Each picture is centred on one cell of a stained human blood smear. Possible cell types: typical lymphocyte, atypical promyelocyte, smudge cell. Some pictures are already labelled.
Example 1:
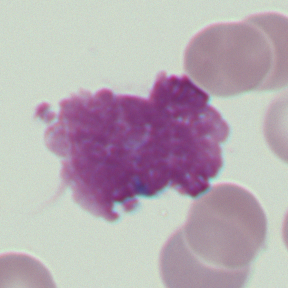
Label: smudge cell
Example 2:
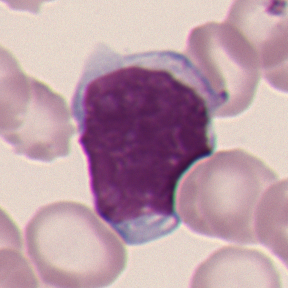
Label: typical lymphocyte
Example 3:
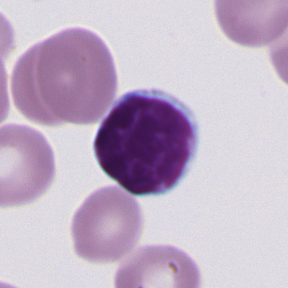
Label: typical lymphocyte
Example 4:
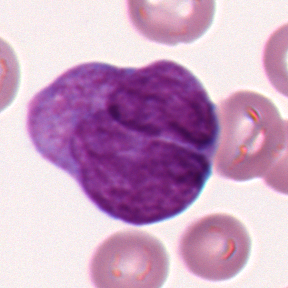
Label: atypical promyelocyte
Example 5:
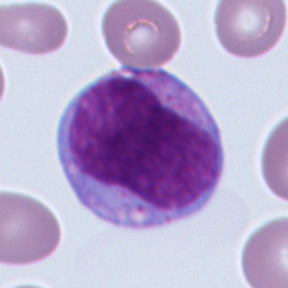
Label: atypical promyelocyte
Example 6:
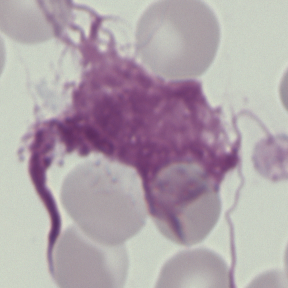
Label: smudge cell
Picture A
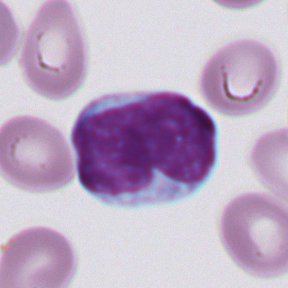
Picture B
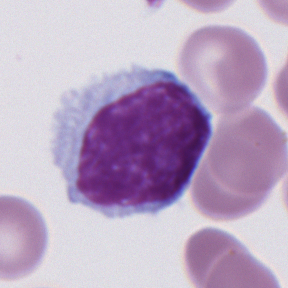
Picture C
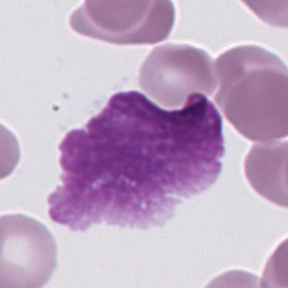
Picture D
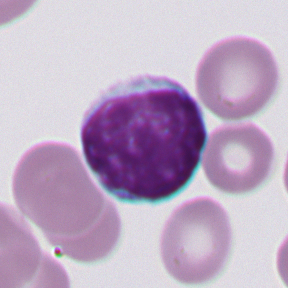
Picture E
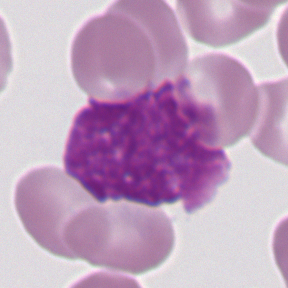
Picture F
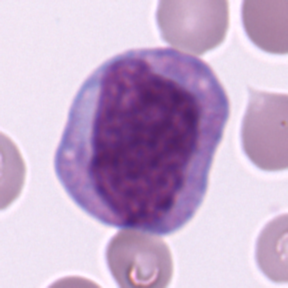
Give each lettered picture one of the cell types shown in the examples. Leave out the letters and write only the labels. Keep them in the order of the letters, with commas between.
typical lymphocyte, typical lymphocyte, smudge cell, typical lymphocyte, smudge cell, atypical promyelocyte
